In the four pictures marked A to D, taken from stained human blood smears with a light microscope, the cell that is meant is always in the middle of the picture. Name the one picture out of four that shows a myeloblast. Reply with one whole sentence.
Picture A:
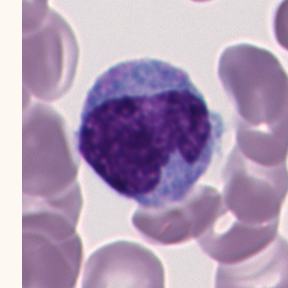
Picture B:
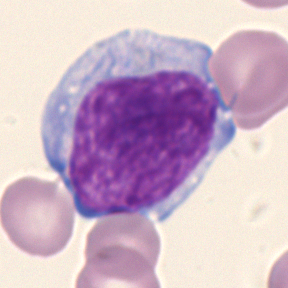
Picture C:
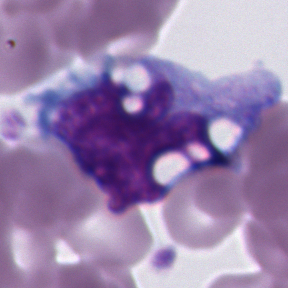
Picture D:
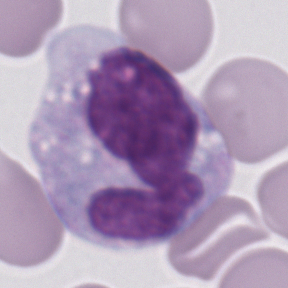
Picture B is the one that shows the myeloblast.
